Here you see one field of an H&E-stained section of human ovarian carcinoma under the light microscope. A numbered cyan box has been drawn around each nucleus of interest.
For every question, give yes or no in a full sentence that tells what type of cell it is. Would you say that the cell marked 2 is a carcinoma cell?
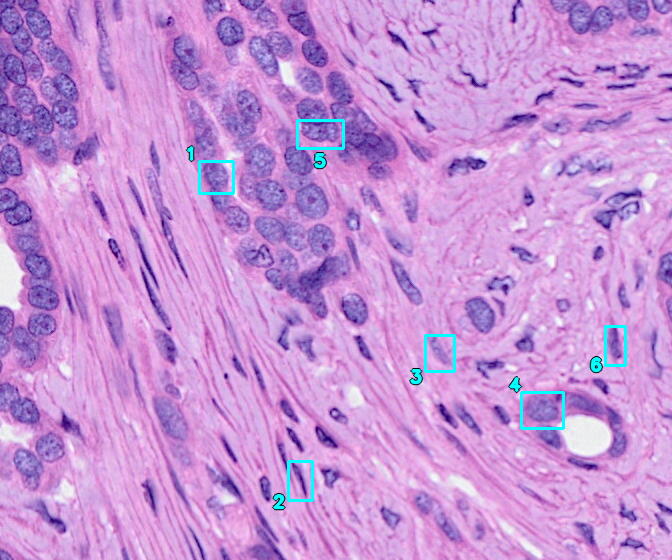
No, cell 2 is a fibroblast and should not be called a carcinoma cell.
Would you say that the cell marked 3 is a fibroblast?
Yes, regarding cell number 3, it is a fibroblast.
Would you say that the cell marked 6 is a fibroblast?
Yes, the marked cell number 6 is a fibroblast.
